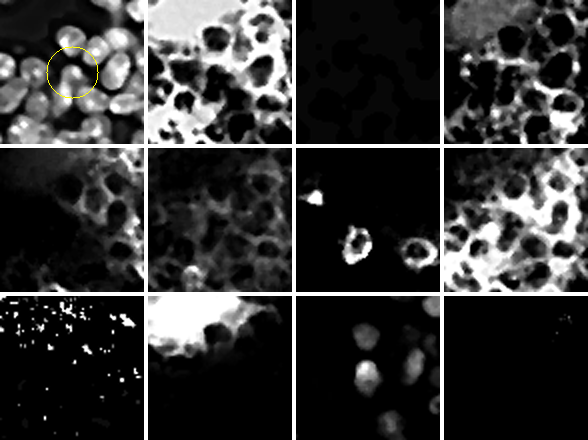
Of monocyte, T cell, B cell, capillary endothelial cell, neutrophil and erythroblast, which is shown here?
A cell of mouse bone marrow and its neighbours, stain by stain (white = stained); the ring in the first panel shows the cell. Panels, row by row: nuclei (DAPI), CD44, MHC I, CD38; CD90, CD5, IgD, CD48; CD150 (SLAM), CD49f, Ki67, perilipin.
B cell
